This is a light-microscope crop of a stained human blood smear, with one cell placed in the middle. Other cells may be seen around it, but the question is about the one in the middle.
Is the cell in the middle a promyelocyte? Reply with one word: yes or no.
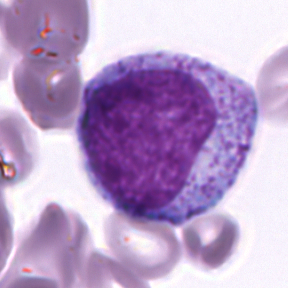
yes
